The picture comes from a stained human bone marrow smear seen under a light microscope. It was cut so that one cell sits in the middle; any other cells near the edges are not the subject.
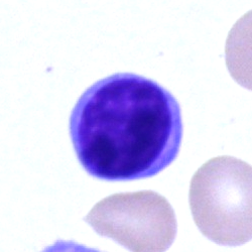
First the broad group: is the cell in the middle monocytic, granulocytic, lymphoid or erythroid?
lymphoid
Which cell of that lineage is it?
lymphocyte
